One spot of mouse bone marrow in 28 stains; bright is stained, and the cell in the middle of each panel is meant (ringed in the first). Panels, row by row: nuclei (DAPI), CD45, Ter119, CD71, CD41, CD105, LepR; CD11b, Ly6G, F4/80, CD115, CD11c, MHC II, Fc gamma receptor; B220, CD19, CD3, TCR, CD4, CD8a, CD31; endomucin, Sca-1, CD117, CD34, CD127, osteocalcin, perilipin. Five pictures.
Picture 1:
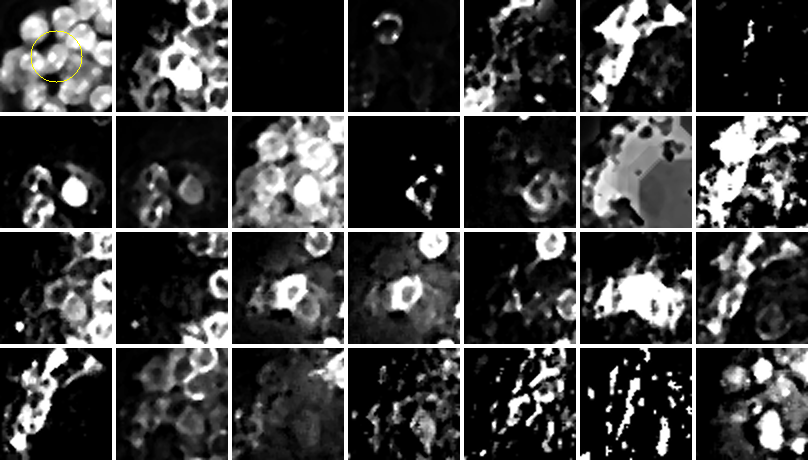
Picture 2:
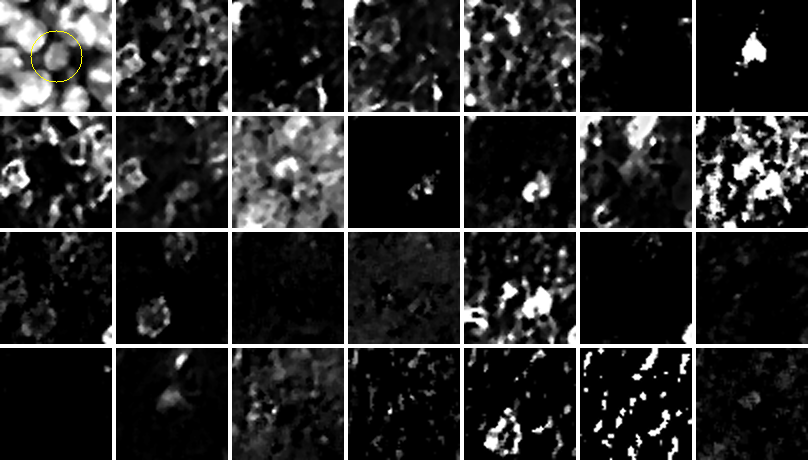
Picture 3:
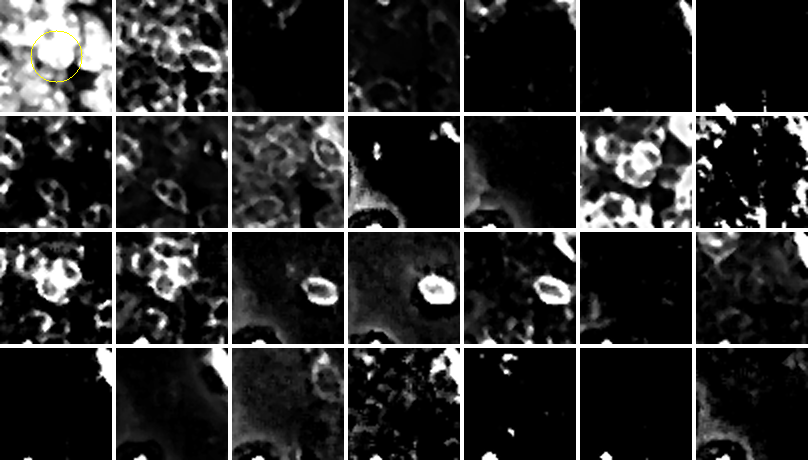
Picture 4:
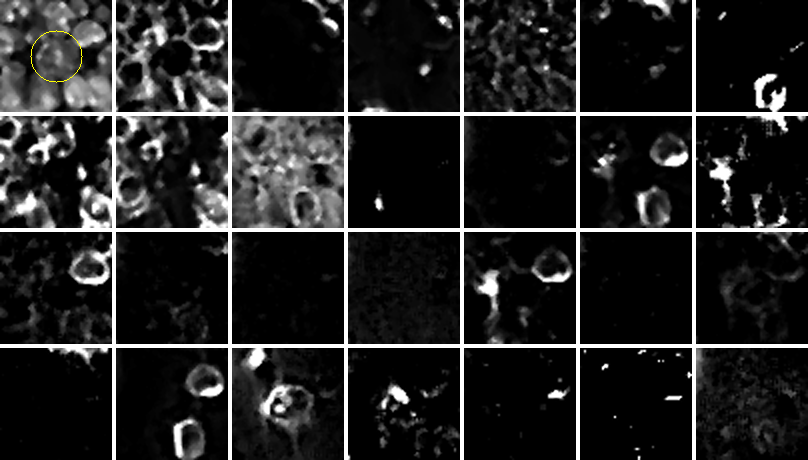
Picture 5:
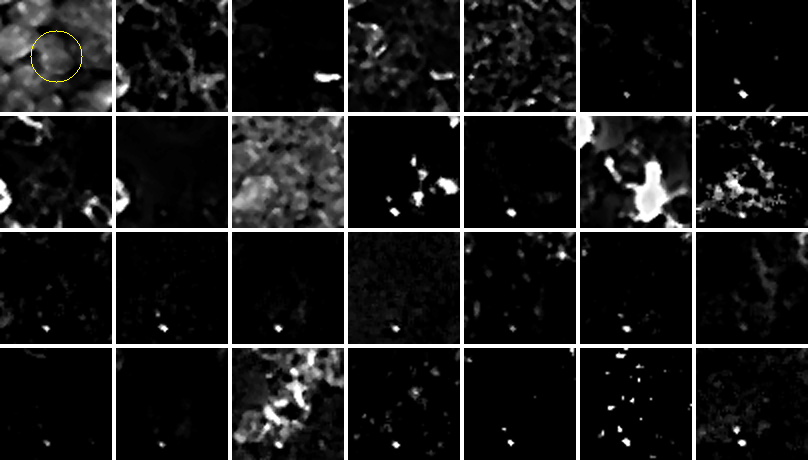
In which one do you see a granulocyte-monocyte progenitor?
In picture 5.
